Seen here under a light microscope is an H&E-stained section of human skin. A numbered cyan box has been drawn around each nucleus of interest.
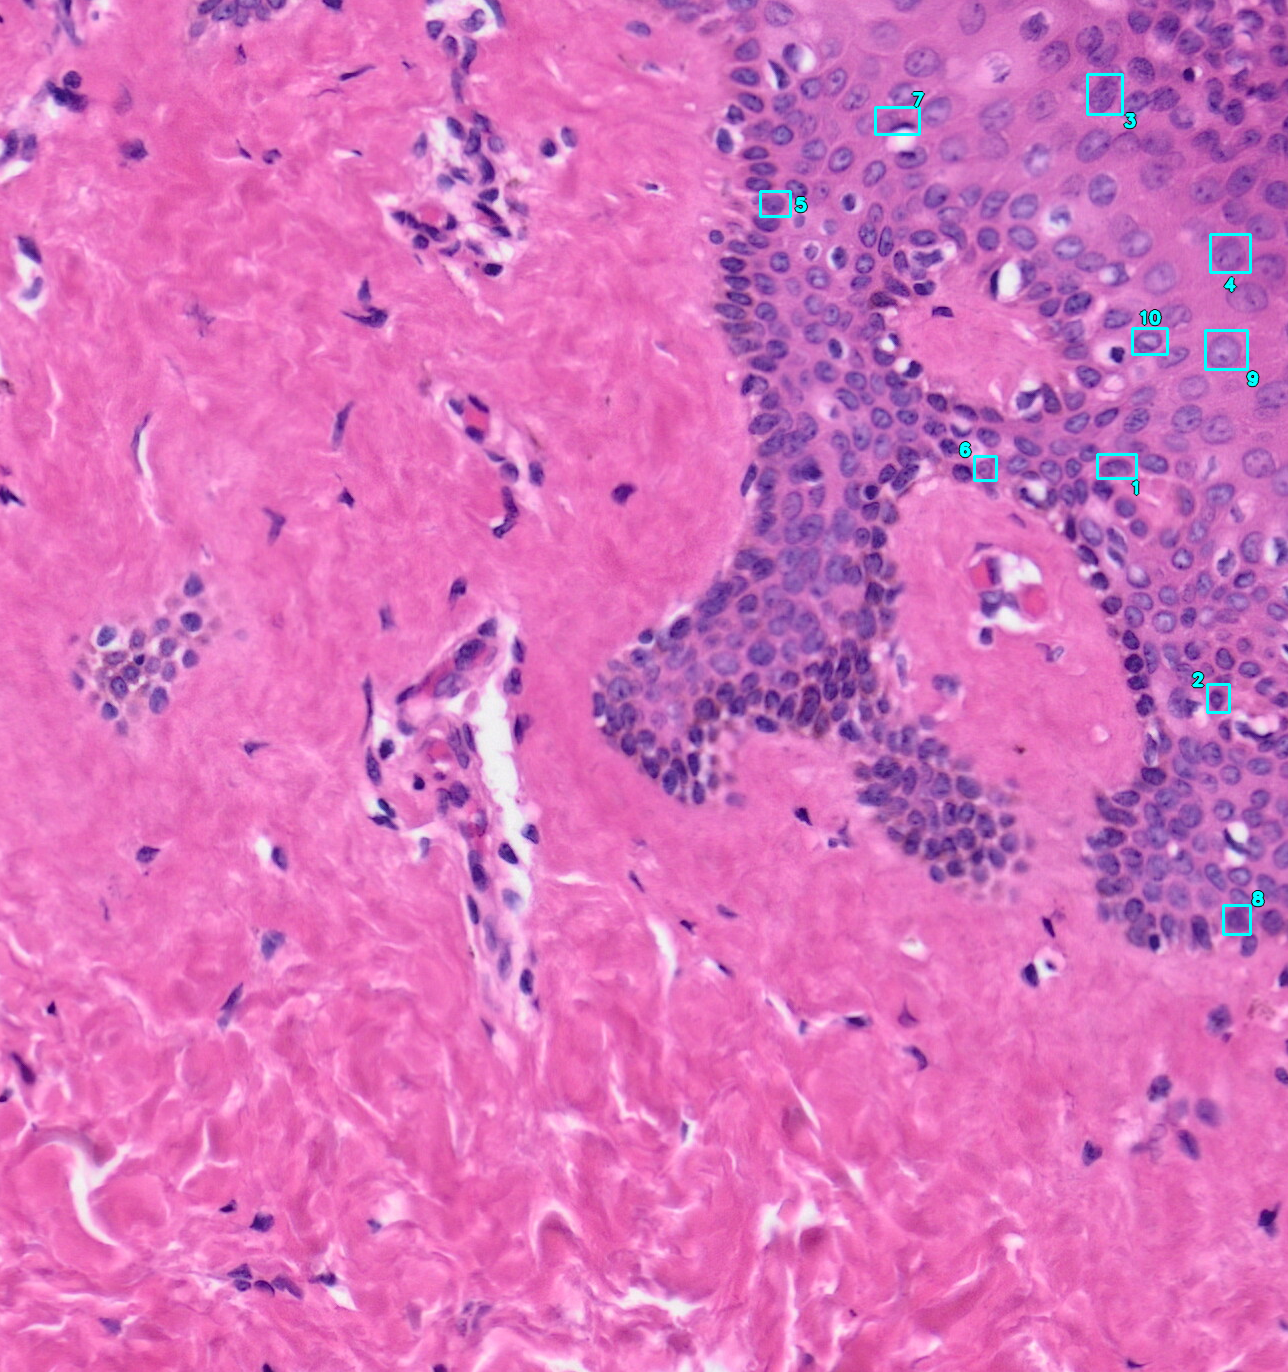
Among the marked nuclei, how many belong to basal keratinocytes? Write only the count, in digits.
5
